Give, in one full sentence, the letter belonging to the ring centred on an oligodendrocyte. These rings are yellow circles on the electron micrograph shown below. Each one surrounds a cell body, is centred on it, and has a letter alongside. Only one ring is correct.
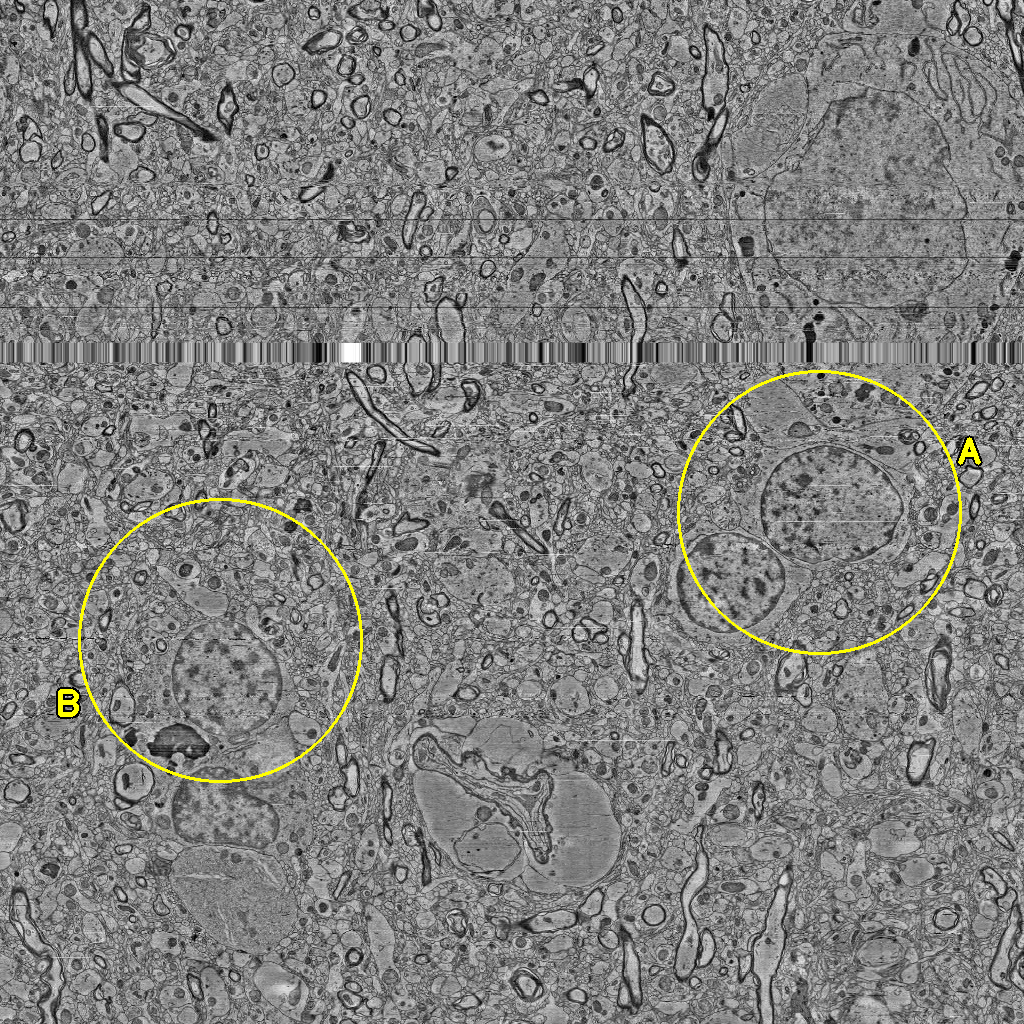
My answer is B, the ring centred on the cell asked for.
